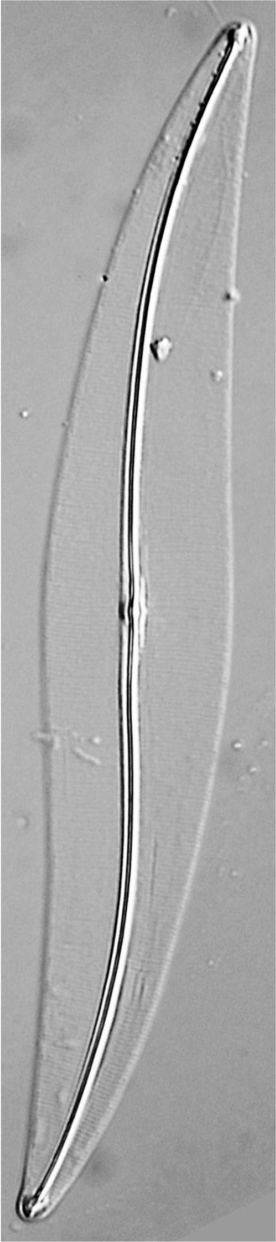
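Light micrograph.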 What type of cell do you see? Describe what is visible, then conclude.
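A single elongate, lanceolate cell wall with tapering ends. A long slit runs along the midline of the valve. A small central thickening sits at mid-length on that midline. Very fine parallel lines cross the valve surface.
Diatoms.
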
